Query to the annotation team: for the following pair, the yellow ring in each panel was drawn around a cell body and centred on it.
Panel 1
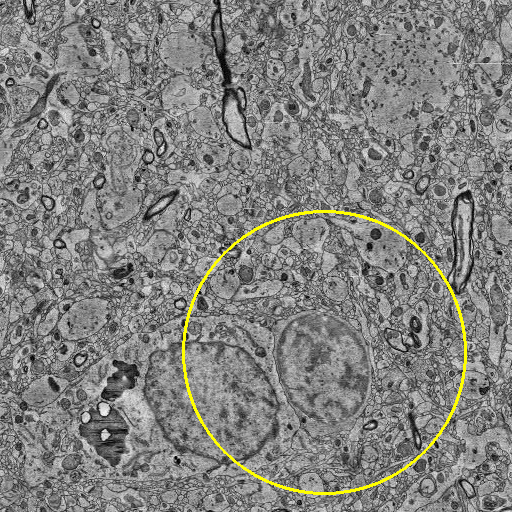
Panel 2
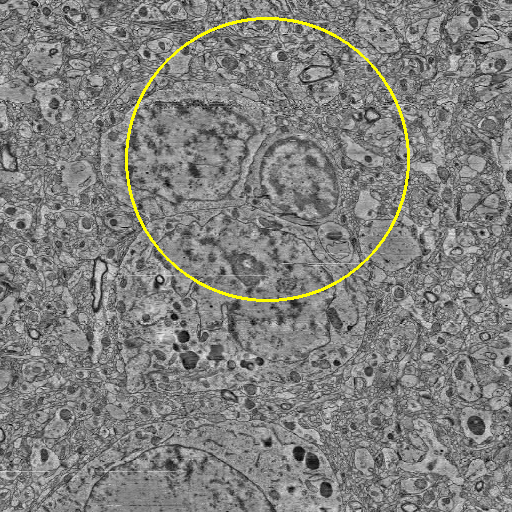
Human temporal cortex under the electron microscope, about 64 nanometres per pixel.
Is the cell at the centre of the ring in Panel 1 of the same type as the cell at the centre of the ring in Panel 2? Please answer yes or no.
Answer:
yes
